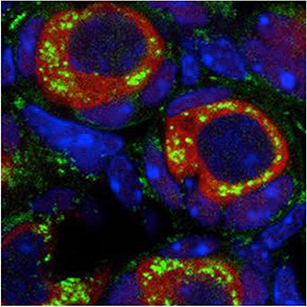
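The nucleus itself is free of both red and green. Around each large cell sit small, flattened or oval cells with dense blue nuclei that hug its surface. Some green dots also appear in the spaces between cells, but they are fewest there.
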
